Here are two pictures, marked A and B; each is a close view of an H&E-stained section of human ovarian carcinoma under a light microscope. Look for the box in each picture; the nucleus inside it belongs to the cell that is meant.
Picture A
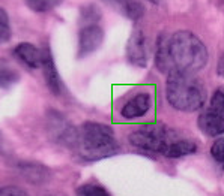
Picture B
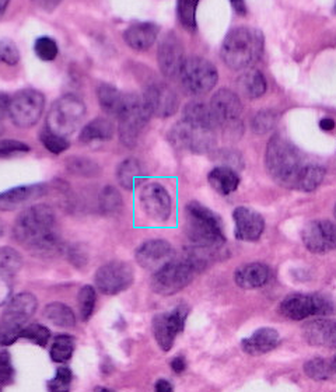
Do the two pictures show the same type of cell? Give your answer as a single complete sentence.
Yes, they are the same type: both are “macrophages or monocytes”.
